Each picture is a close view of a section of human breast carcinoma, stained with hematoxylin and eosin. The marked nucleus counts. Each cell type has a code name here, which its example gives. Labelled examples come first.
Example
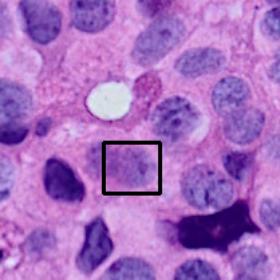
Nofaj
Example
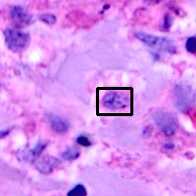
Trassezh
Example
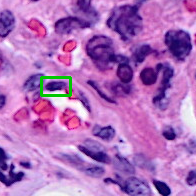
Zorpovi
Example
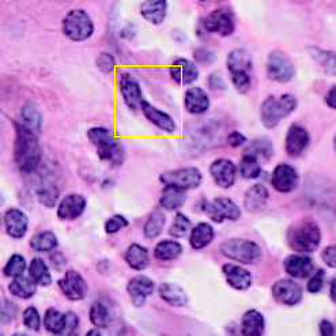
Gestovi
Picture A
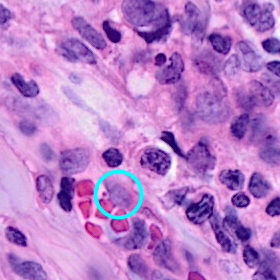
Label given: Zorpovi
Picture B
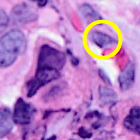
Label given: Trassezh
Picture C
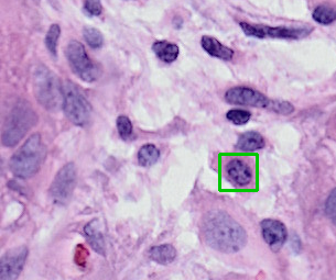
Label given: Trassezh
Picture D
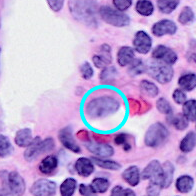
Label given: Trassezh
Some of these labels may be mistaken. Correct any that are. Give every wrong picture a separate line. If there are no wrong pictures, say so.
B: change Trassezh to Zorpovi
D: change Trassezh to Zorpovi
